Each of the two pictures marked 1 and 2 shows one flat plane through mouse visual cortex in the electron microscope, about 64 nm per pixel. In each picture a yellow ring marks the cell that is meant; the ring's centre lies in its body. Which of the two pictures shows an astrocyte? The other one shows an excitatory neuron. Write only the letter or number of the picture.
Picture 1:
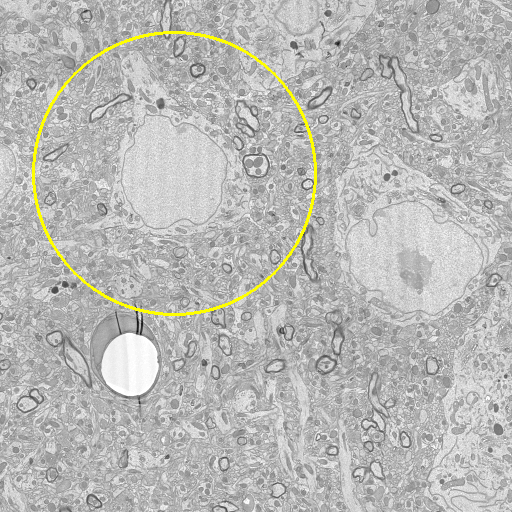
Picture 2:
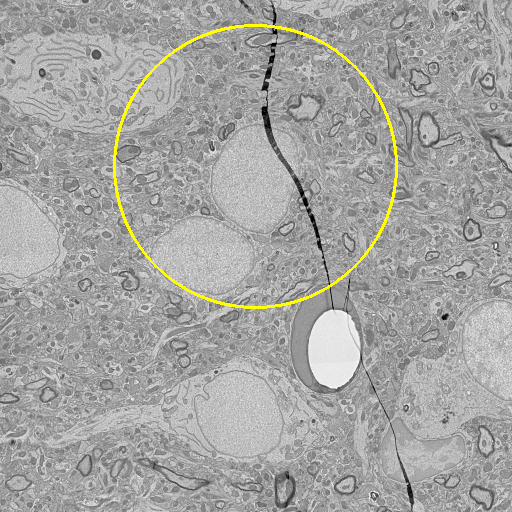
2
